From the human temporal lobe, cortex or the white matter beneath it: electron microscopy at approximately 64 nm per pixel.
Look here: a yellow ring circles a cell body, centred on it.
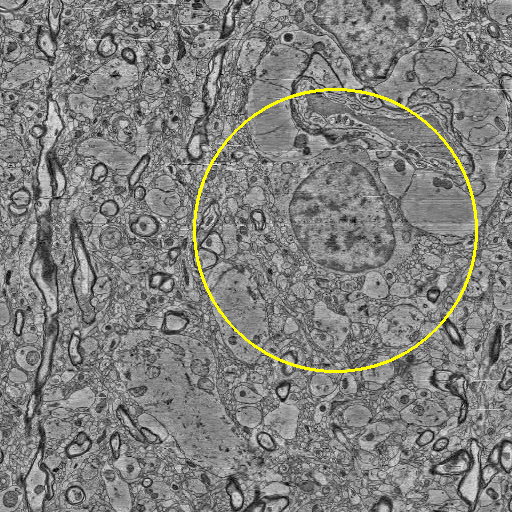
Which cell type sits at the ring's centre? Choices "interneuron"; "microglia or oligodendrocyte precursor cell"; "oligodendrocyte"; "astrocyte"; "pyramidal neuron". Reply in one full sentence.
The cell at the centre of the yellow ring in the picture is an oligodendrocyte.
